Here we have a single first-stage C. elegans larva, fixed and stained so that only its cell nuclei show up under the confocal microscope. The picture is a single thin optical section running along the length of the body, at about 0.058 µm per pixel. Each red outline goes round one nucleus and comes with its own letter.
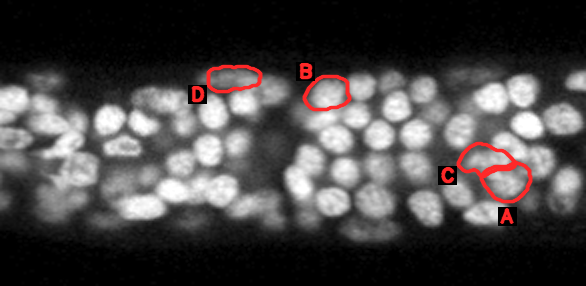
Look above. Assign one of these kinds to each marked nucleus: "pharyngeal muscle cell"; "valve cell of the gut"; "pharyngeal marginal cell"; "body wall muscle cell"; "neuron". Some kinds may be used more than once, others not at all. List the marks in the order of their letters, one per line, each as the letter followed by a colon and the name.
A: pharyngeal muscle cell
B: neuron
C: pharyngeal marginal cell
D: body wall muscle cell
